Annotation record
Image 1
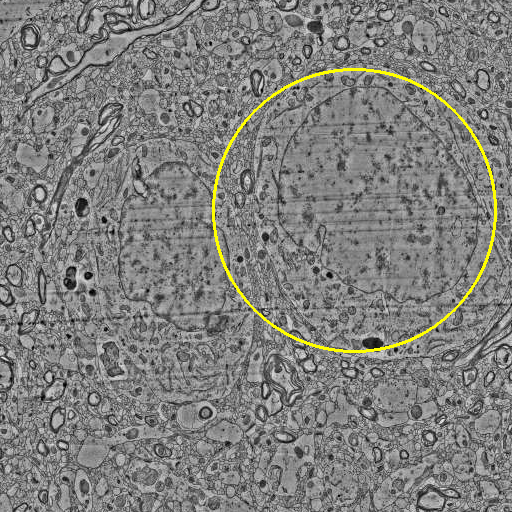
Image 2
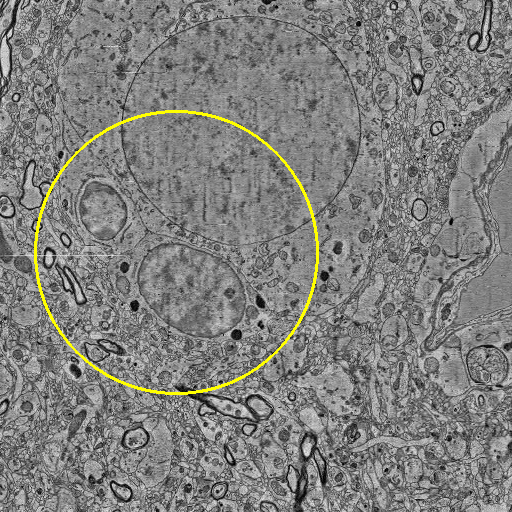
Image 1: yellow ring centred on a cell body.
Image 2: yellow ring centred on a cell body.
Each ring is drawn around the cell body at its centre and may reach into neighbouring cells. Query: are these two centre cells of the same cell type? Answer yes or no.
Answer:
no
